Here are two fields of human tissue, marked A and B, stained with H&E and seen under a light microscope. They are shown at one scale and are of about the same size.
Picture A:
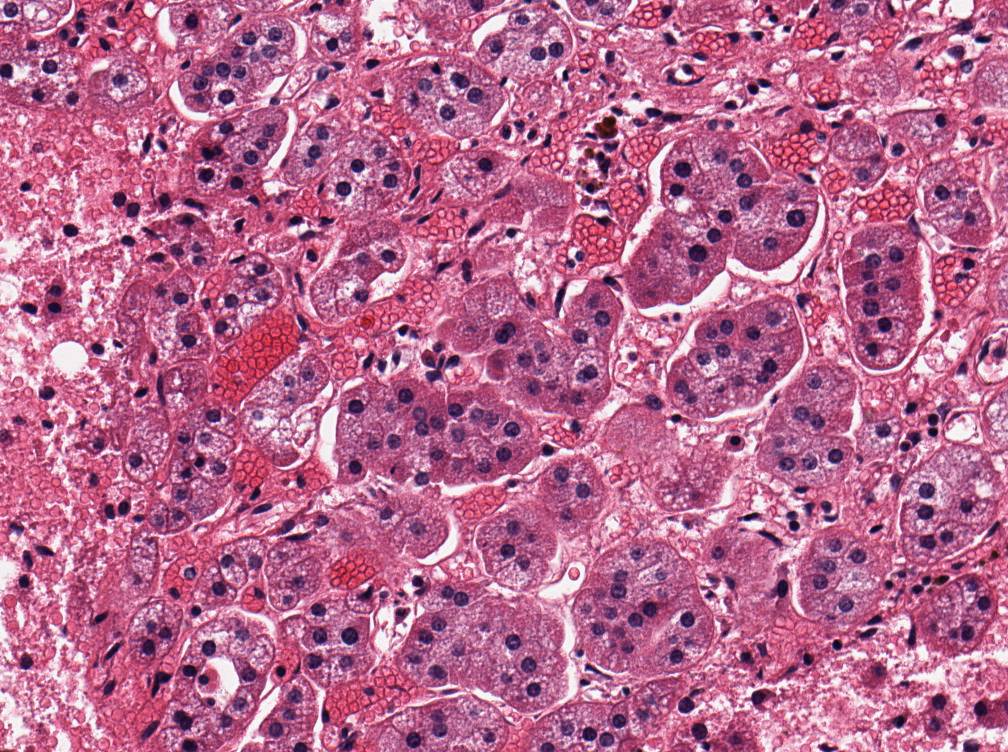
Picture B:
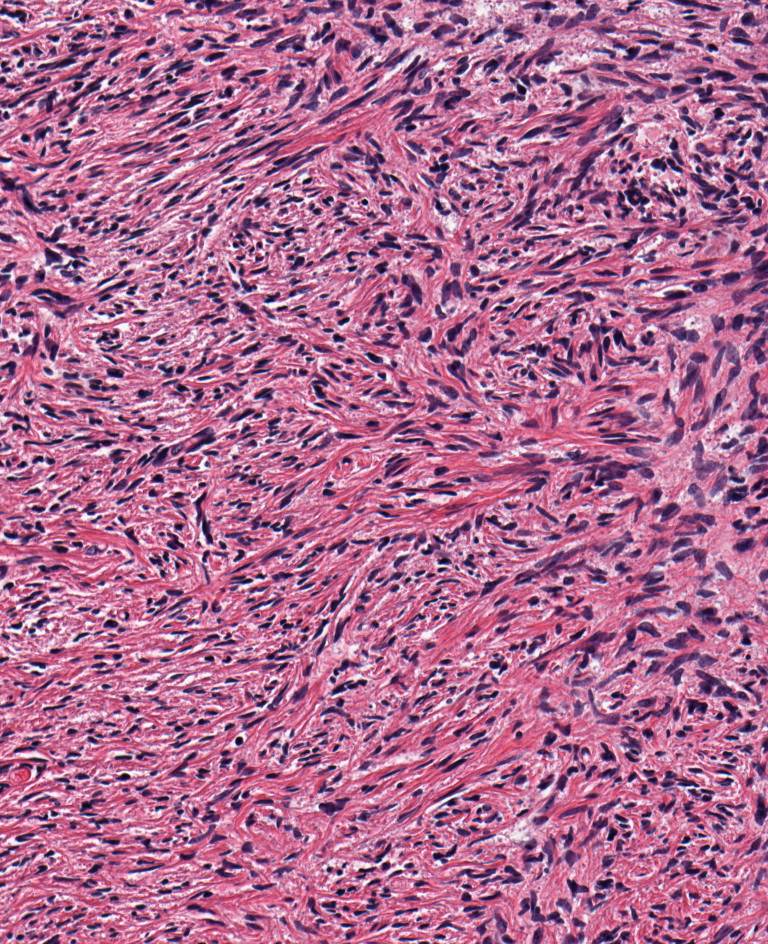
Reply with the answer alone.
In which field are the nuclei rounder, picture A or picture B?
A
